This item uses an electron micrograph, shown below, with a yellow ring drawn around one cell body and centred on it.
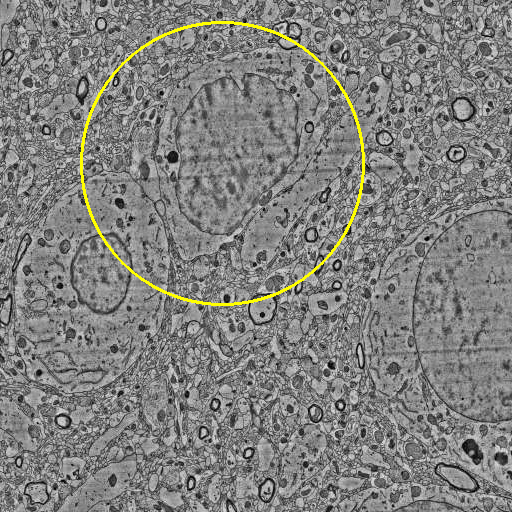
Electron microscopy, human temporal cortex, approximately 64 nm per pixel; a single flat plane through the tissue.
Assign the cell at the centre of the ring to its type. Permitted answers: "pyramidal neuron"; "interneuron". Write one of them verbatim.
interneuron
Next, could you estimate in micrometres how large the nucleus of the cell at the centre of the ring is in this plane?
The nucleus of the ringed cell is approximately 11 by 8 micrometres in this plane.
